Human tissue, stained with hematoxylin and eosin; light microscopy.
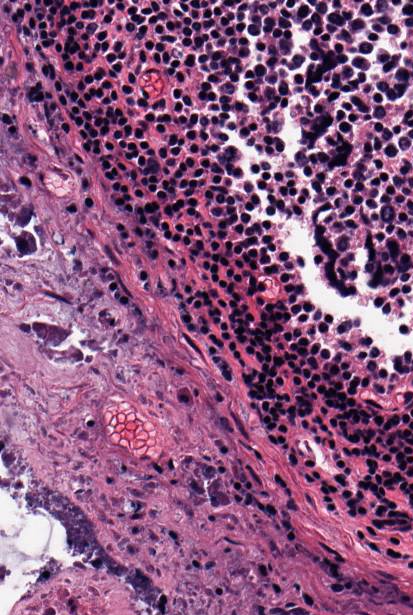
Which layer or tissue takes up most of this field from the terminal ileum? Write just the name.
lymphoid tissue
